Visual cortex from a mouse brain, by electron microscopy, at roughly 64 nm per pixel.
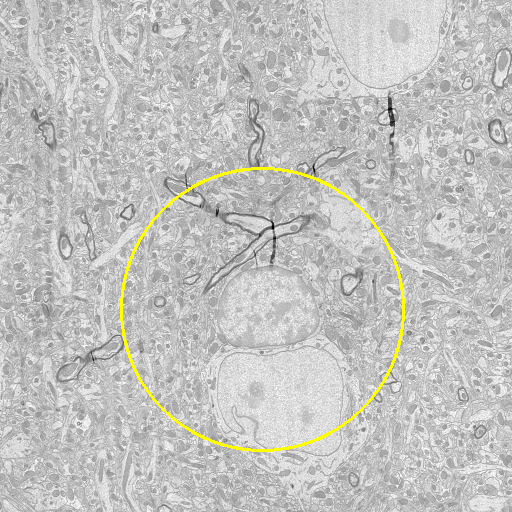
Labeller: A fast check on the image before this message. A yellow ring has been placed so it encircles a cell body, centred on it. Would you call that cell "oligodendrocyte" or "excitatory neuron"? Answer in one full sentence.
In this image, an oligodendrocyte is the cell on which the yellow ring is centred.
